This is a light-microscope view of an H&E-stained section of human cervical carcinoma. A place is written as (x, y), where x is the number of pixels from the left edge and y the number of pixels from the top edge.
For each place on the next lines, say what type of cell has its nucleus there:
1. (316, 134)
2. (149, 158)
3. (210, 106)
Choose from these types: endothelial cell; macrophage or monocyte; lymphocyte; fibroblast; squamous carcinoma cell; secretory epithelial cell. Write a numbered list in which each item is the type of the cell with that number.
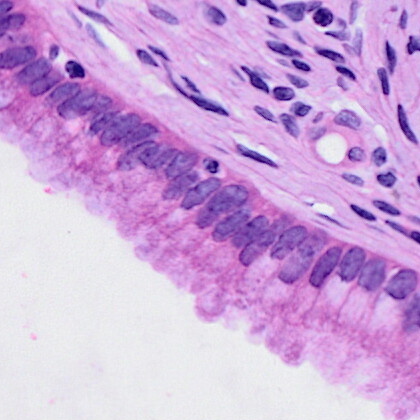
1. endothelial cell
2. secretory epithelial cell
3. fibroblast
